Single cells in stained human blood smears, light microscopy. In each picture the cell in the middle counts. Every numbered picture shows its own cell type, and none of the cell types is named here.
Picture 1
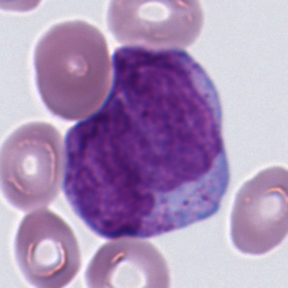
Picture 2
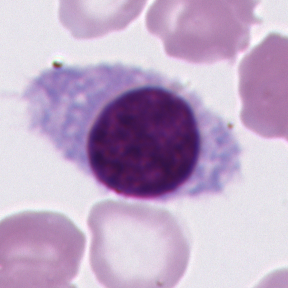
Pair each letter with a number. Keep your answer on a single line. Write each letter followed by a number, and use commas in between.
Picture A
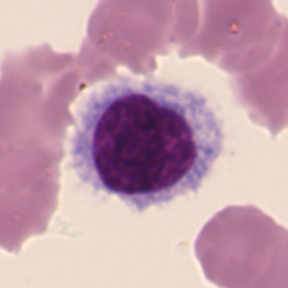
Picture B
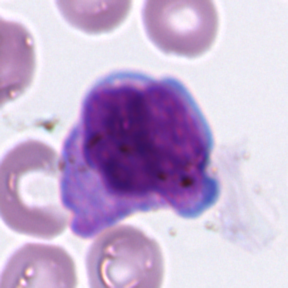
A 2, B 1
